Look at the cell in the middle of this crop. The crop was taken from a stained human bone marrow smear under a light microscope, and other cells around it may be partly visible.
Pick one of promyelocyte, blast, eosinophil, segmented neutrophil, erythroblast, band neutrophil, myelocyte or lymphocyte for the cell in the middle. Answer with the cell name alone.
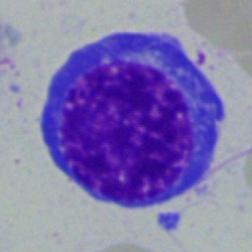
erythroblast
